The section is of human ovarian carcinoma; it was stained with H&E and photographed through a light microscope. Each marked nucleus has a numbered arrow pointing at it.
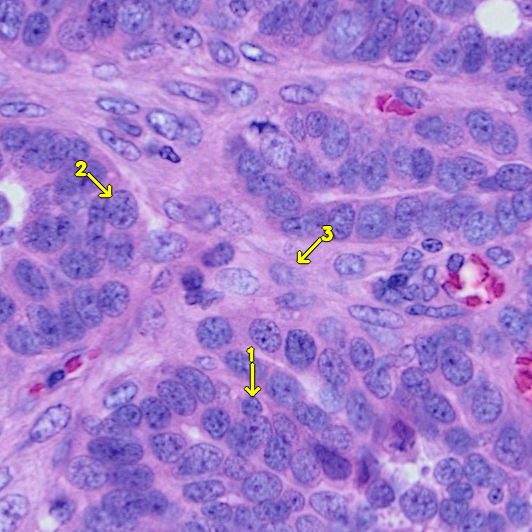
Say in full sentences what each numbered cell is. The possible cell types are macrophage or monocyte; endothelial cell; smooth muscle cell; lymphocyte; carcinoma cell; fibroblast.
Cell 1 is a macrophage or monocyte. Cell 2 is a carcinoma cell. Cell 3 is a fibroblast.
